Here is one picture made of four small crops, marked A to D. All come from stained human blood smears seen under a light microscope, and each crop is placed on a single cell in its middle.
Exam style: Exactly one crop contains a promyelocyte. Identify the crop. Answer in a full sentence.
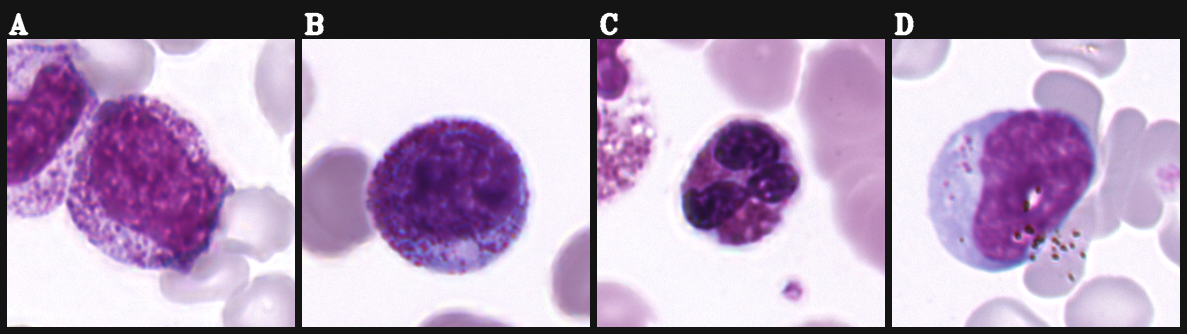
It is crop B that shows a promyelocyte.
